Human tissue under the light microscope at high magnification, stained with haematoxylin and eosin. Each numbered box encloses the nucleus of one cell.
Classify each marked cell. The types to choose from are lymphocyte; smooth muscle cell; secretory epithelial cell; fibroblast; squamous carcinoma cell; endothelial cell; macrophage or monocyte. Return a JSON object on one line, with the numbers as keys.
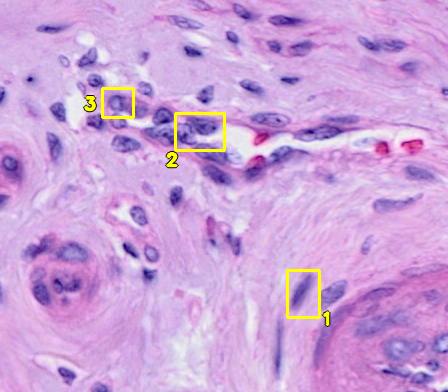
{"1": "fibroblast", "2": "endothelial cell", "3": "endothelial cell"}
